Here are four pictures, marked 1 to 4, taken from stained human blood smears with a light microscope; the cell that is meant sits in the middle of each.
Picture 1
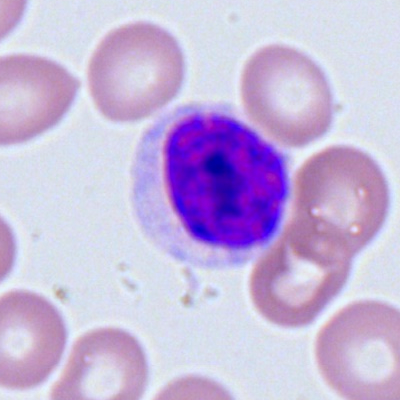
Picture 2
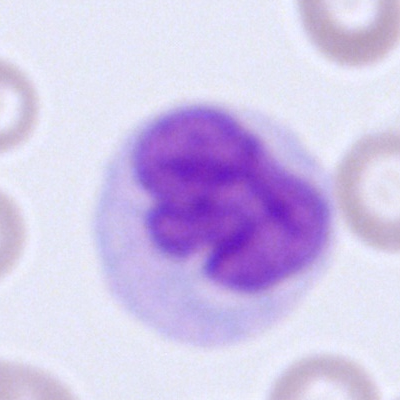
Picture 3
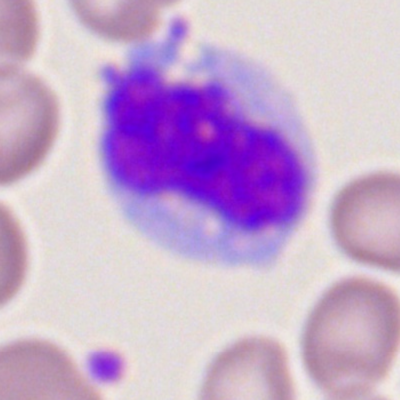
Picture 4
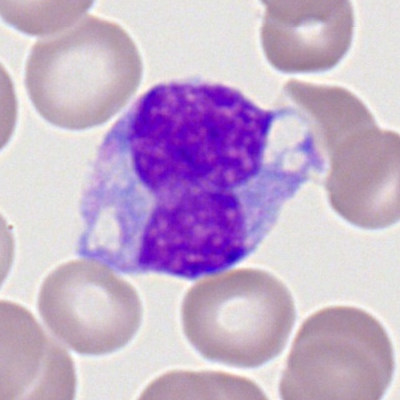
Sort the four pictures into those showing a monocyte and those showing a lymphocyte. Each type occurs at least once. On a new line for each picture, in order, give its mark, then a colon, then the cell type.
1: lymphocyte
2: monocyte
3: monocyte
4: monocyte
